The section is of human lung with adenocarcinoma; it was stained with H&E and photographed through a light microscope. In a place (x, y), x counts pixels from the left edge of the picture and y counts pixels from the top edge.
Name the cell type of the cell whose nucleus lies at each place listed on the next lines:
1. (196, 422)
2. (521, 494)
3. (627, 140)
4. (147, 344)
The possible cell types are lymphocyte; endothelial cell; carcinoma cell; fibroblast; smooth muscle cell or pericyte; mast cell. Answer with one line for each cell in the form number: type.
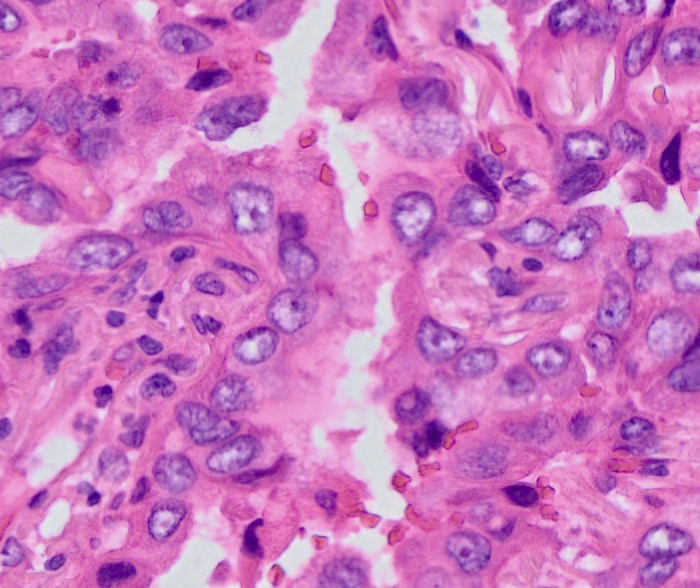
1: carcinoma cell
2: carcinoma cell
3: carcinoma cell
4: lymphocyte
